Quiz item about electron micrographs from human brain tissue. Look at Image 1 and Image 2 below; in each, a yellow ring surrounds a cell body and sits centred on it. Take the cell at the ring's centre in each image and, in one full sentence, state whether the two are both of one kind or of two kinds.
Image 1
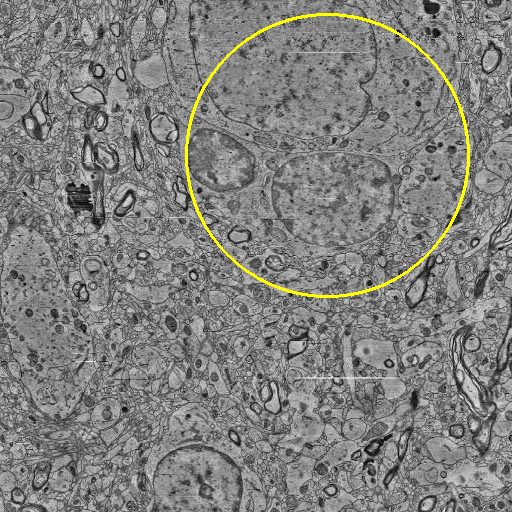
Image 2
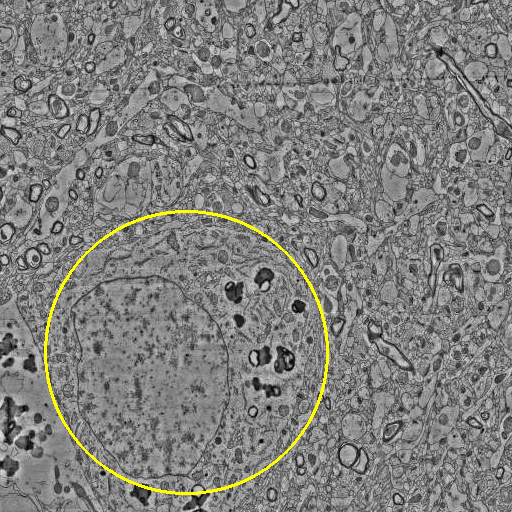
In Image 1 and Image 2, the cells at the ring centres are of two kinds.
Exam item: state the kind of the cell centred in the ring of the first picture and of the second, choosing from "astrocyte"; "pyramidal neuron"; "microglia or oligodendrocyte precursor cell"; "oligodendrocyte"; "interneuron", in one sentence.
The first picture shows an oligodendrocyte at the ring centre and the second shows a pyramidal neuron.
